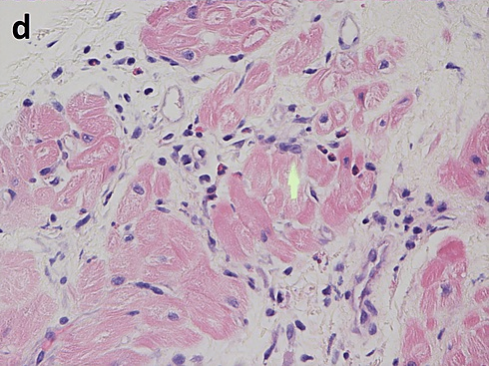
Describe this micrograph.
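Heart muscle is cut across and obliquely, with eosinophils lying in the interstitium between the fibres. The muscle fibres are pink, of varying size, some with central nuclei. Between them, loose pale connective tissue holds small vessels and scattered cells, among which are cells with bright red granular cytoplasm and lobed dark nuclei.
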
